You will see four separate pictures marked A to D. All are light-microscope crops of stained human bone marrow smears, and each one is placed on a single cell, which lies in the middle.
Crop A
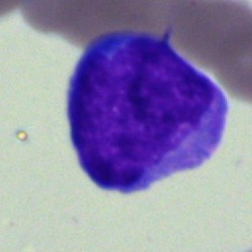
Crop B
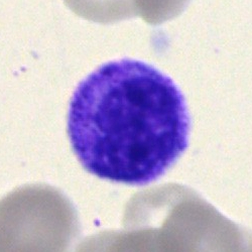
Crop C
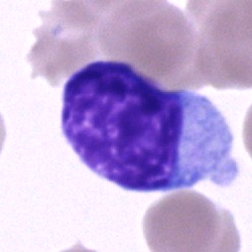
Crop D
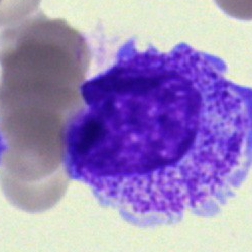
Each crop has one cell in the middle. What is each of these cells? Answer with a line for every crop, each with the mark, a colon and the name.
A: blast
B: myelocyte
C: blast
D: myelocyte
